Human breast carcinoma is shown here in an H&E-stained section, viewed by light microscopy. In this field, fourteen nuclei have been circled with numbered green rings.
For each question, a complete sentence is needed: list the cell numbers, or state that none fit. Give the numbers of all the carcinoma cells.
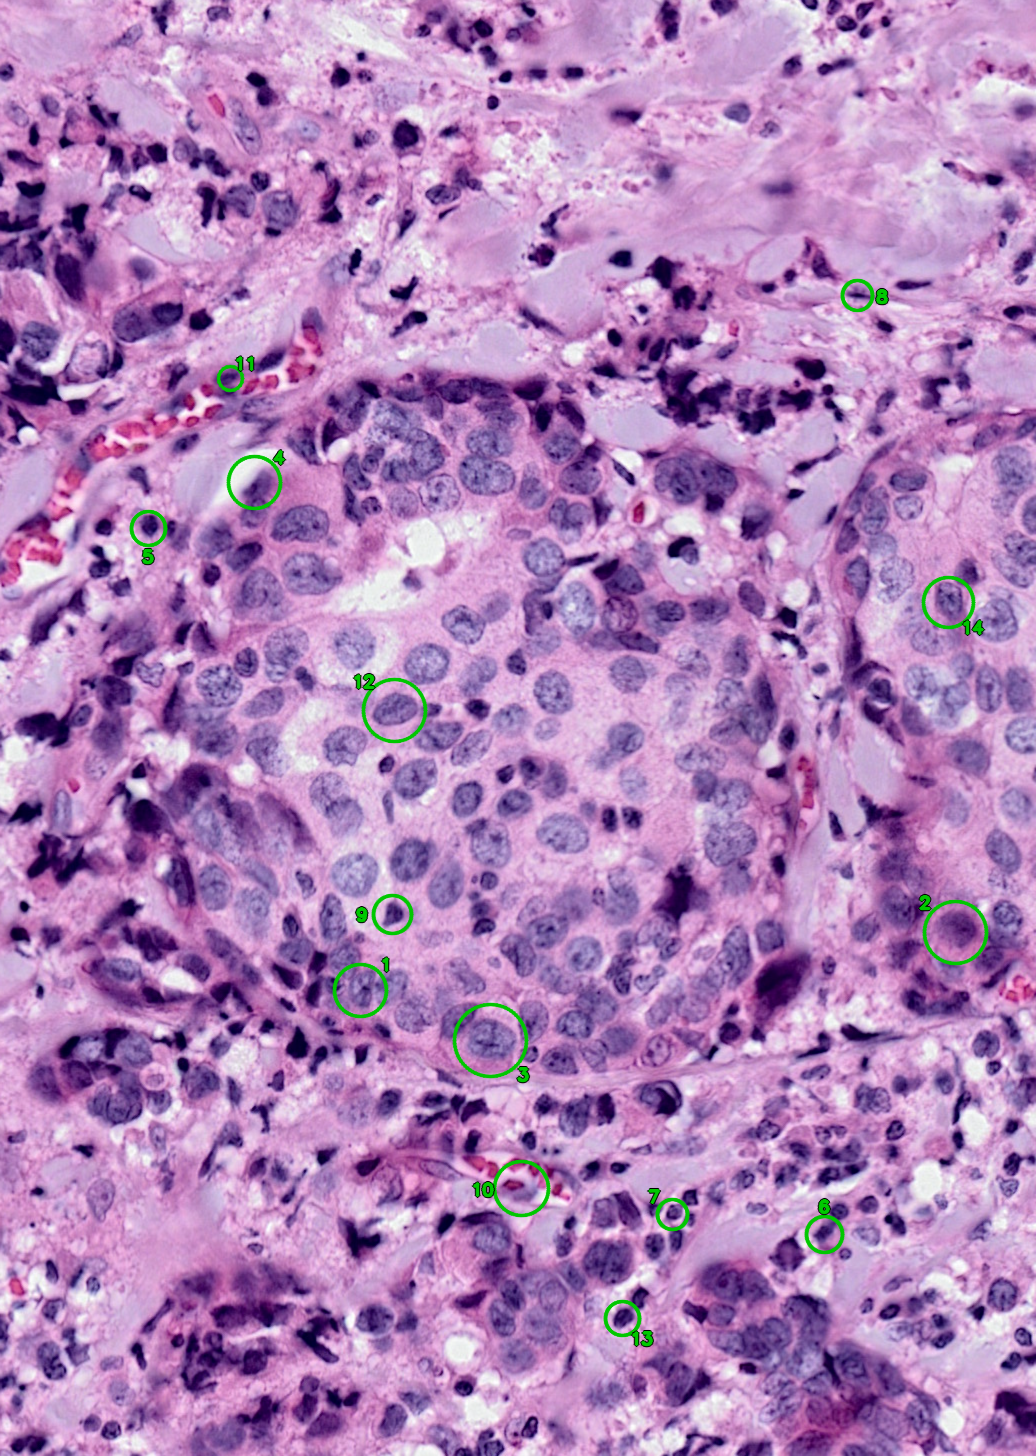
The cells with the numbers 1, 2, 3, 4, 12 and 14 are carcinoma cells.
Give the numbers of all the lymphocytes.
The identity of cells 5, 6, 7, 9 and 13: they are lymphocytes.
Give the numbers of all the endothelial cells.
To be specific, the cells numbered 10 and 11 are endothelial cells.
